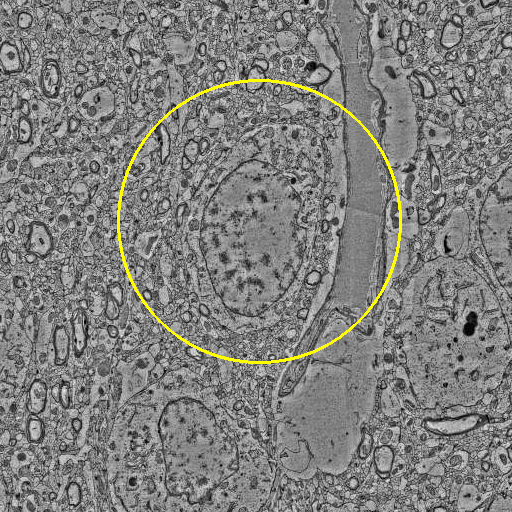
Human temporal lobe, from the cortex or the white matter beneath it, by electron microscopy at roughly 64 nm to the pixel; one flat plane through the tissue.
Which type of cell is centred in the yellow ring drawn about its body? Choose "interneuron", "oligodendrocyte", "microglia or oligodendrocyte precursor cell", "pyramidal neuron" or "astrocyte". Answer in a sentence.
The yellow ring surrounds the cell body of a pyramidal neuron.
